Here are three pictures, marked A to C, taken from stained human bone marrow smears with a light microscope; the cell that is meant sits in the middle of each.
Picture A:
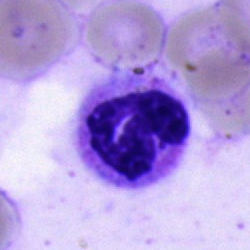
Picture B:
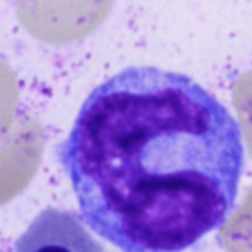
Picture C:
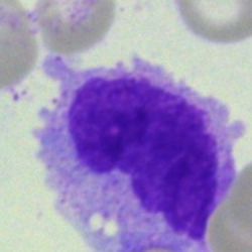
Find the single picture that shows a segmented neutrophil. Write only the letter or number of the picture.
A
